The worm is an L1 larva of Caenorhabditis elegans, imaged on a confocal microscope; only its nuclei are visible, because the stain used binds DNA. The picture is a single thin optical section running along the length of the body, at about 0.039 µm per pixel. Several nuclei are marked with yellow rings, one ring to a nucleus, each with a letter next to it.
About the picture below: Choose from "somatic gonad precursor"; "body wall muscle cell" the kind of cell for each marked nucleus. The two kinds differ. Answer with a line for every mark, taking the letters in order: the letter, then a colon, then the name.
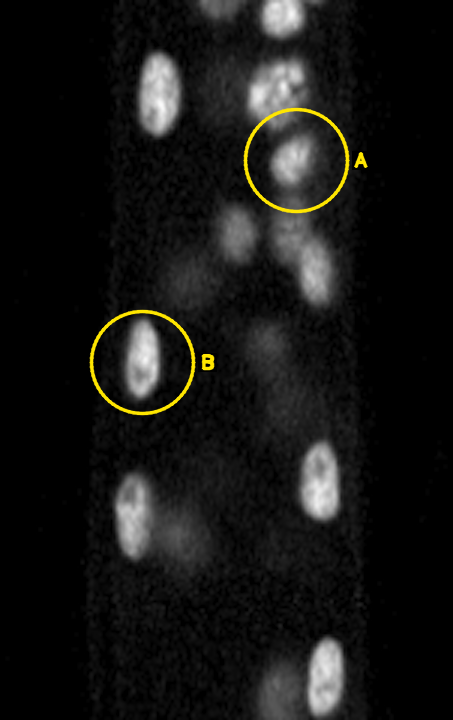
A: somatic gonad precursor
B: body wall muscle cell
